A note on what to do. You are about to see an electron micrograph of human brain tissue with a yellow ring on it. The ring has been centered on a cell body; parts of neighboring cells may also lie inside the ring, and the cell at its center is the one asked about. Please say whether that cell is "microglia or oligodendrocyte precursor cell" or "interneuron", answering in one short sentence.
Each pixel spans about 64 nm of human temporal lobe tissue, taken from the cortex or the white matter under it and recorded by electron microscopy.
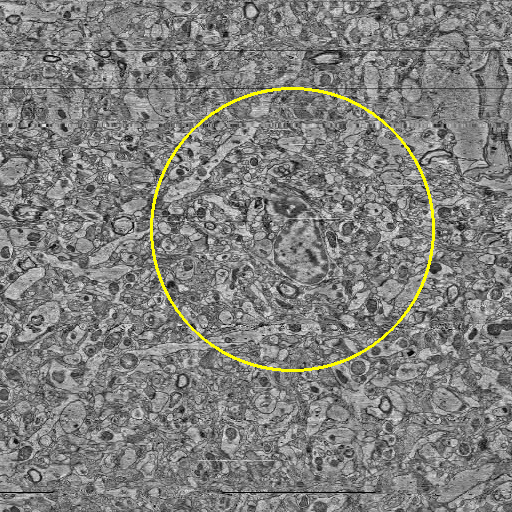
The yellow ring sits on a microglial cell or oligodendrocyte precursor cell.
